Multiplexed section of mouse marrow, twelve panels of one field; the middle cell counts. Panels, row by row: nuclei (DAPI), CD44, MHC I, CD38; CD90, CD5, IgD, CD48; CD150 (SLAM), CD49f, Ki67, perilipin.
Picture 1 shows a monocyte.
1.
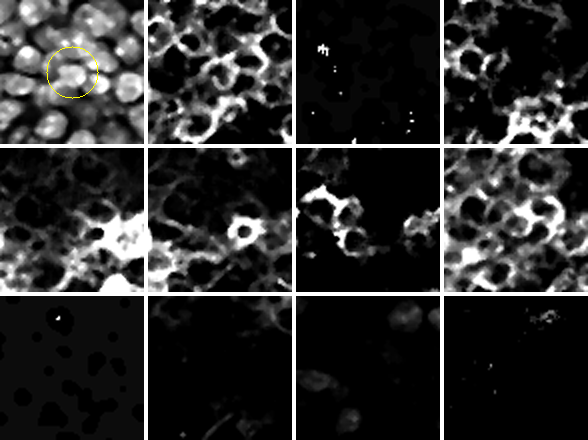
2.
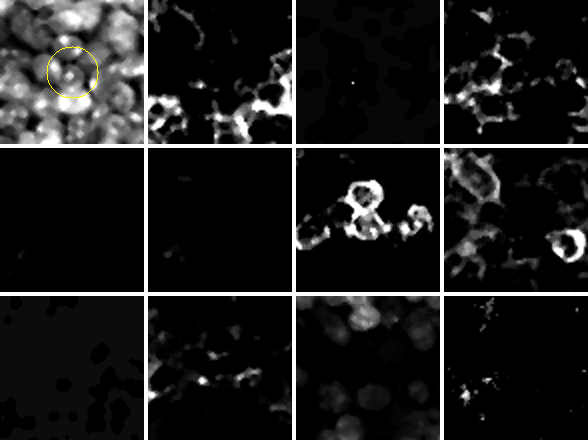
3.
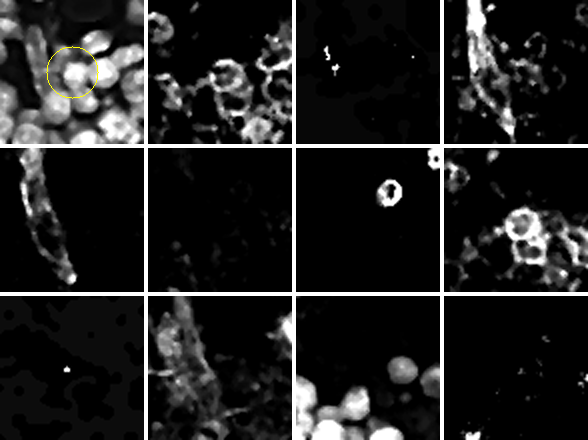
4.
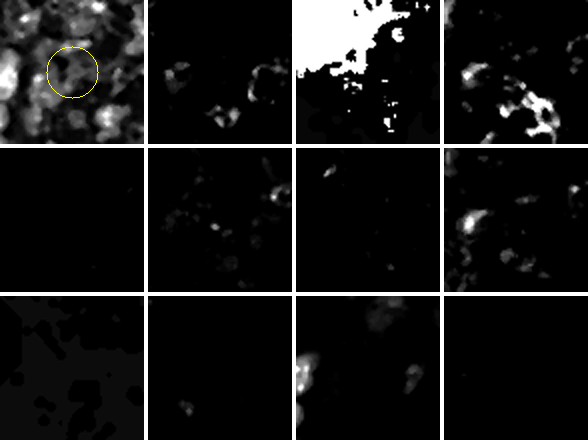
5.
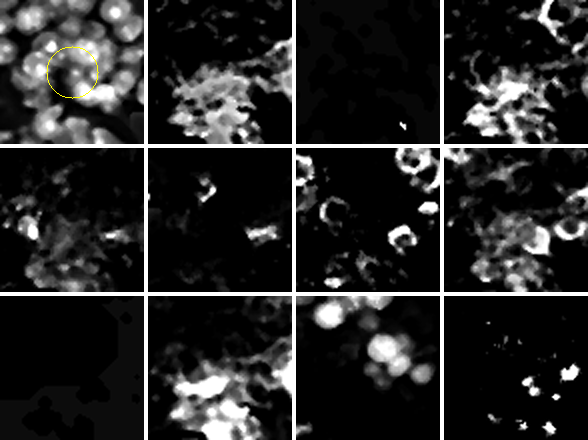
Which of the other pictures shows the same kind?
Picture 3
